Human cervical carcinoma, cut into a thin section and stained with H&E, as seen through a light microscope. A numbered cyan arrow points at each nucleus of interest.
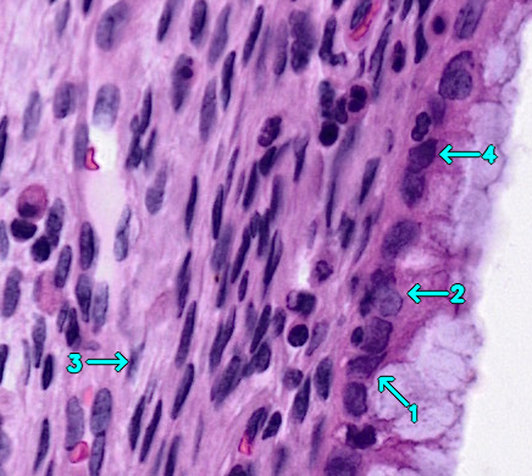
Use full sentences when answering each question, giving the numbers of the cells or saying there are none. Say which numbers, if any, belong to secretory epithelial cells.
Identified as secretory epithelial cells are the cells numbered 1, 2 and 4.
